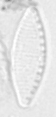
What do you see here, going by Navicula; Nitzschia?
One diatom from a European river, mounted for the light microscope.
I see Nitzschia.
